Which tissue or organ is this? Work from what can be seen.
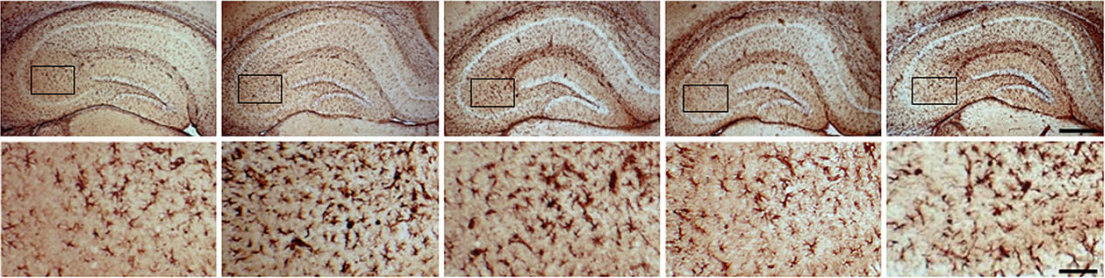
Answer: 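The low-magnification views show a curved cell band forming a C shape. A second interlocking V-shaped band lies at the lower right of each view.
Conclusion: hippocampus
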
